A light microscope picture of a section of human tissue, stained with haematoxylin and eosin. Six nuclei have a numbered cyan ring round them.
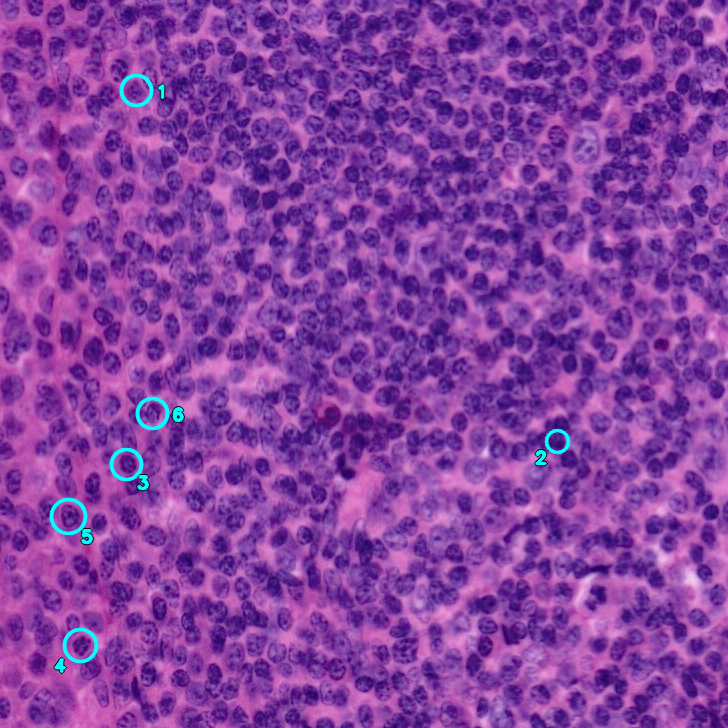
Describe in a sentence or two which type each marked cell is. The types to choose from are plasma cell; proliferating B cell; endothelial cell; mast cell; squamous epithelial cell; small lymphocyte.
Cell 1 is a plasma cell, cell 2 is a small lymphocyte, cell 3 is a plasma cell, cell 4 is a plasma cell, cell 5 is a plasma cell and cell 6 is a small lymphocyte.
